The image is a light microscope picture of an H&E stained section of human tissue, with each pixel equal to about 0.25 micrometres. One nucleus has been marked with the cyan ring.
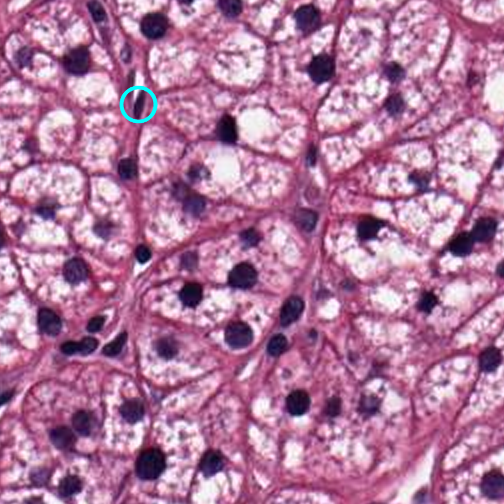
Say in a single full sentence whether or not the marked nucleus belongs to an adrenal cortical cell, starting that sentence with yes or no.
No, the cell to which the marked nucleus belongs is a supporting cell rather than an adrenal cortical cell.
